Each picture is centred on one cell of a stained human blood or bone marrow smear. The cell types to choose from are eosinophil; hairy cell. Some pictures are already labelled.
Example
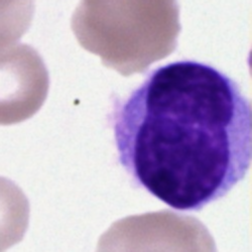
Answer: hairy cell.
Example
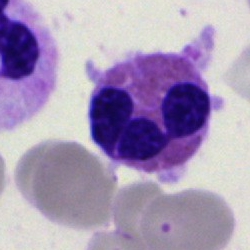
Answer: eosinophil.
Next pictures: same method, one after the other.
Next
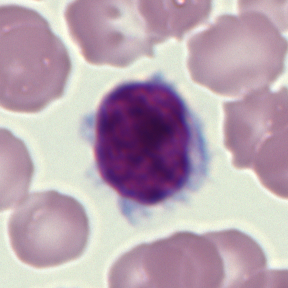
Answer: hairy cell.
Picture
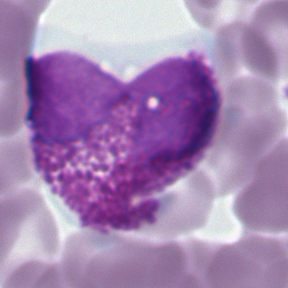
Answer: eosinophil.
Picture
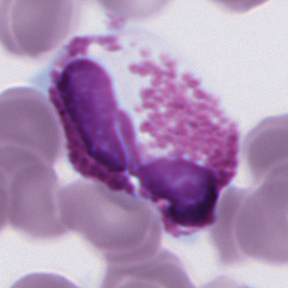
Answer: eosinophil.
